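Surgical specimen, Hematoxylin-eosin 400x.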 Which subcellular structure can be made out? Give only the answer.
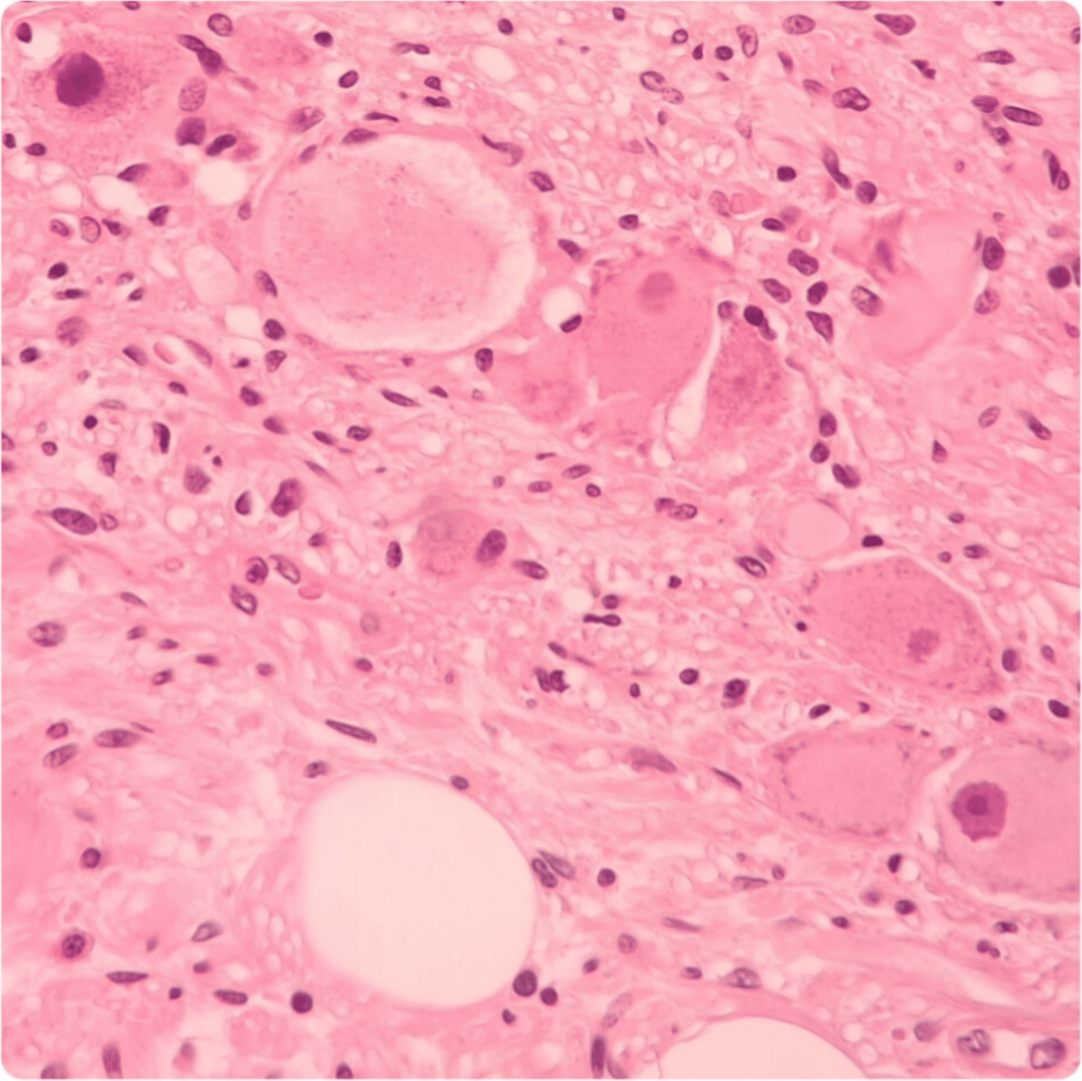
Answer: Prominent nucleolus.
